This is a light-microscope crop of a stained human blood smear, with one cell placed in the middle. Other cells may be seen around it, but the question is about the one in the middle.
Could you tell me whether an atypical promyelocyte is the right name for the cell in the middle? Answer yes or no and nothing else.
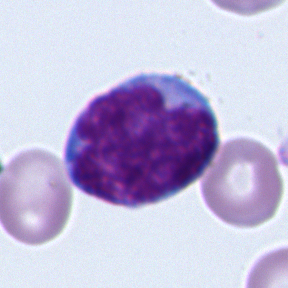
no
